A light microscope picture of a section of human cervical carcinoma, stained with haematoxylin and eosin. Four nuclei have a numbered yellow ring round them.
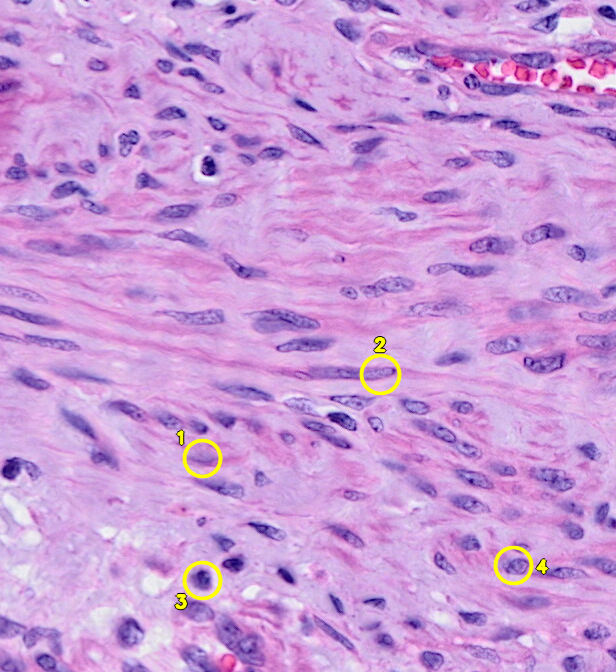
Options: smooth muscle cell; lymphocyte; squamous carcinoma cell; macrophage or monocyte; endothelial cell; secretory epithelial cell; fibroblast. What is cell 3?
lymphocyte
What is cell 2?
smooth muscle cell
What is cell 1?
smooth muscle cell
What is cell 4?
smooth muscle cell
